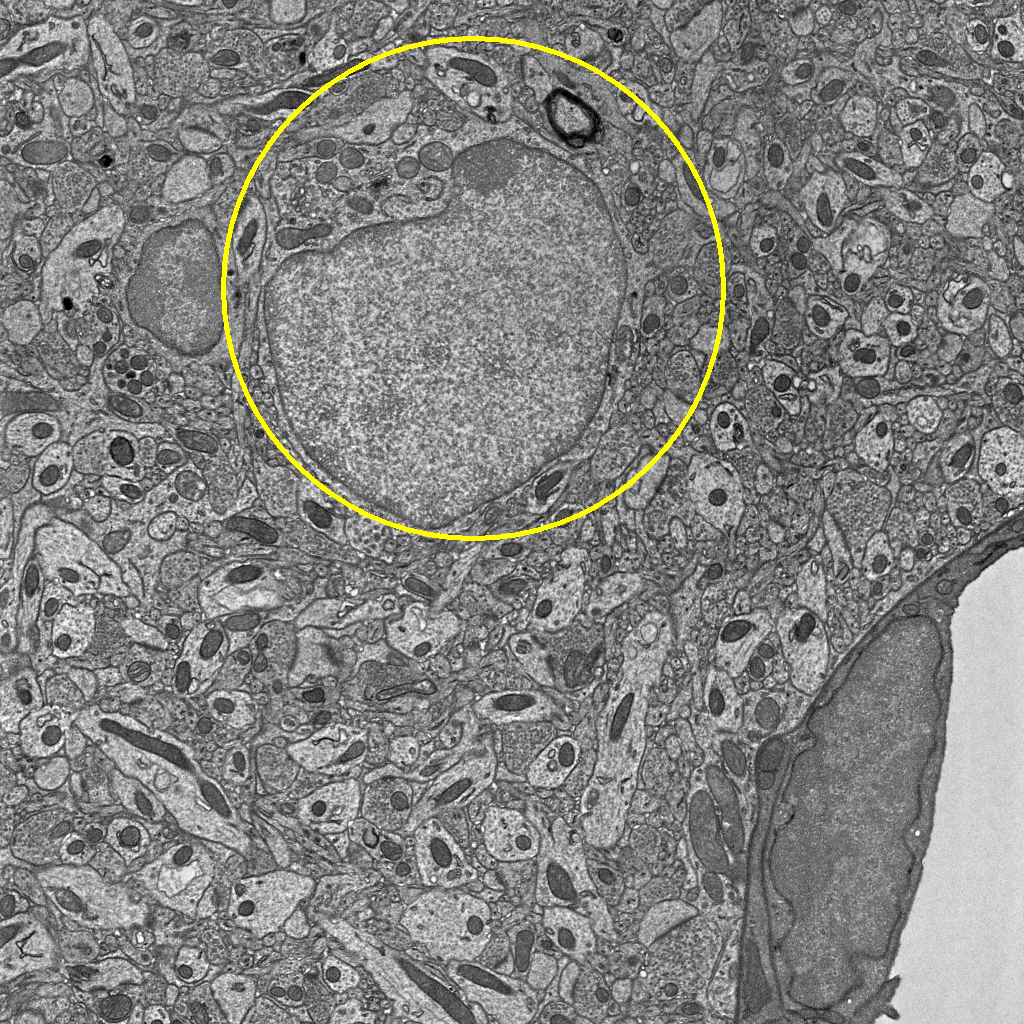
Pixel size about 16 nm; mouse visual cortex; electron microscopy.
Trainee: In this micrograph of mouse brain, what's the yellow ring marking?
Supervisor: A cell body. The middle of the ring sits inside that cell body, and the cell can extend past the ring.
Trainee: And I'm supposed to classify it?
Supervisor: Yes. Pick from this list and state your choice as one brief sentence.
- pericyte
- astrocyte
The cell at the ring's center is an astrocyte.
